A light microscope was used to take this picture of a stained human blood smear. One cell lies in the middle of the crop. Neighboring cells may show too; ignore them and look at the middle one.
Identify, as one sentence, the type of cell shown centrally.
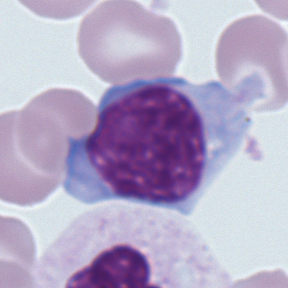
The cell centered in this field of view is a lymphocyte.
